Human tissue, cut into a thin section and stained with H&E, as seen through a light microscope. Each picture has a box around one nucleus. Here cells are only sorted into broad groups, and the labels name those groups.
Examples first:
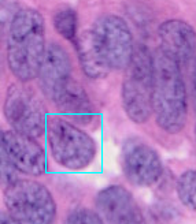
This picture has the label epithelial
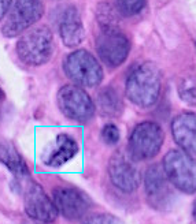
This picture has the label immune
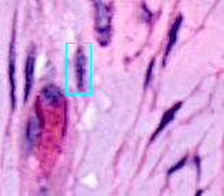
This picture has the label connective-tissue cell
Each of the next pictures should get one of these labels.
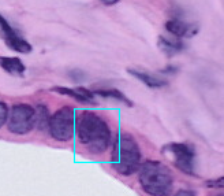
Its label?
epithelial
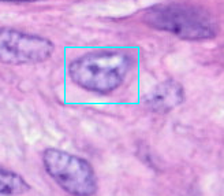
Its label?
connective-tissue cell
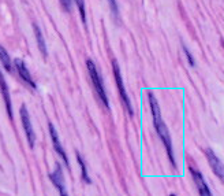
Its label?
connective-tissue cell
